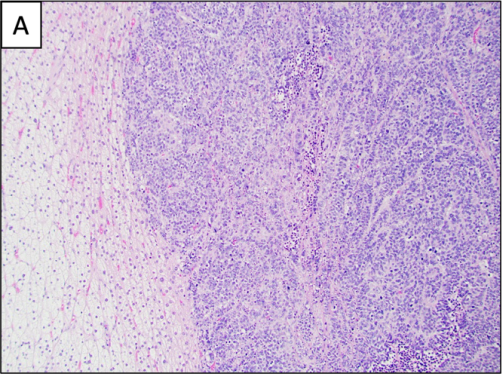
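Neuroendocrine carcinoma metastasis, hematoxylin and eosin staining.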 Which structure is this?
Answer: Ribbons and solid sheets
